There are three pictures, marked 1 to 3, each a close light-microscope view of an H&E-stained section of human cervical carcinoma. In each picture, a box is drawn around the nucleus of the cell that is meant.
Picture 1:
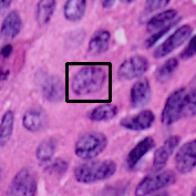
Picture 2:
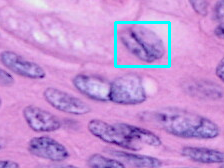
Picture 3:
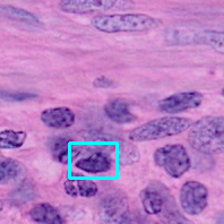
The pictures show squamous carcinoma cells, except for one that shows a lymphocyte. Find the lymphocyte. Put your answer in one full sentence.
The picture with the lymphocyte is 3.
